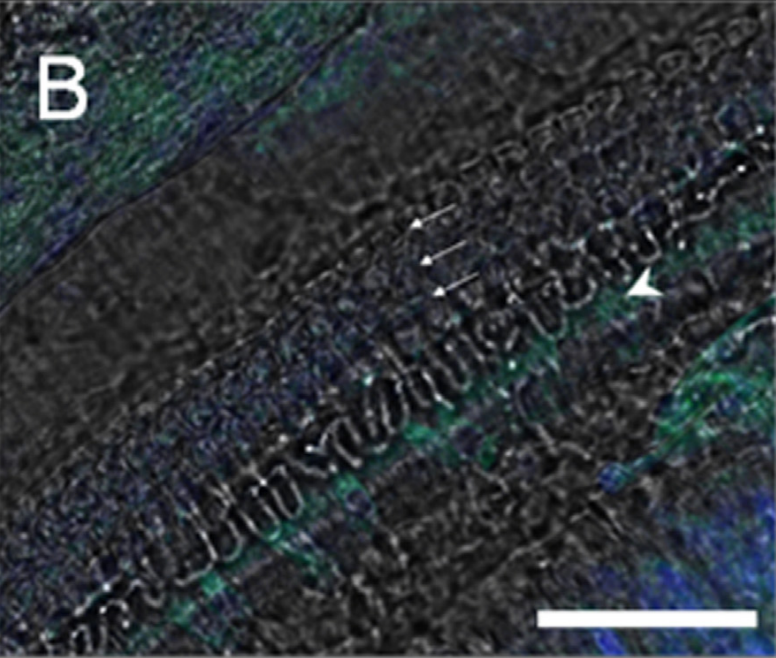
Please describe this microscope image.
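Surface view of the organ of Corti showing three parallel rows of outer hair cells and a single row of inner hair cells running diagonally across the field. The outer hair cell rows appear as regularly repeating, closely packed cell outlines in the grey transmitted-light image, with little green. The single inner hair cell row lies apart from them and carries green fluorescence along its length. Broad bands of mixed green and blue lie on either side of the sensory rows.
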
